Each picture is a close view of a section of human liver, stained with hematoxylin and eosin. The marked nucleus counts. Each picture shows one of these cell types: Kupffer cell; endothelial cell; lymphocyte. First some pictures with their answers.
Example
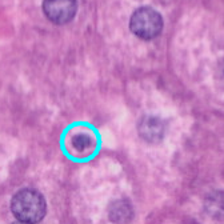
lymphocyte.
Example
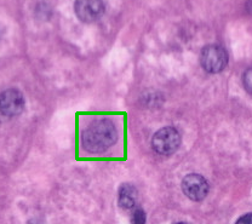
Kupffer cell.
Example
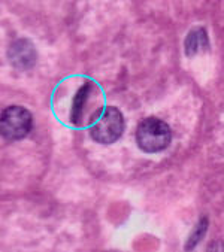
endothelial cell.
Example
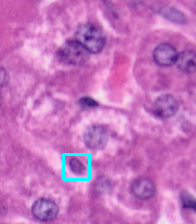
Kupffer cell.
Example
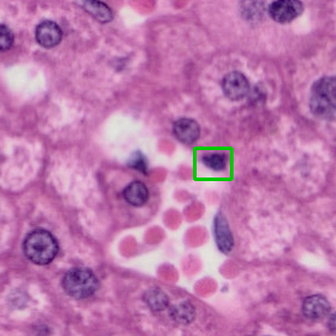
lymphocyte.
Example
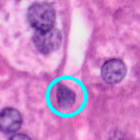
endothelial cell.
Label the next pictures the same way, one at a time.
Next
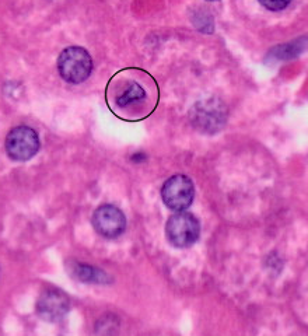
Kupffer cell.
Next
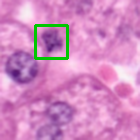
endothelial cell.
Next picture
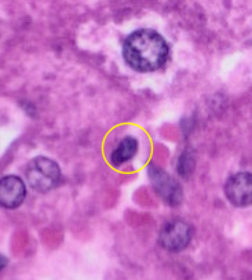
lymphocyte.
